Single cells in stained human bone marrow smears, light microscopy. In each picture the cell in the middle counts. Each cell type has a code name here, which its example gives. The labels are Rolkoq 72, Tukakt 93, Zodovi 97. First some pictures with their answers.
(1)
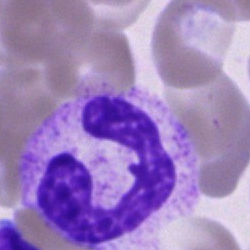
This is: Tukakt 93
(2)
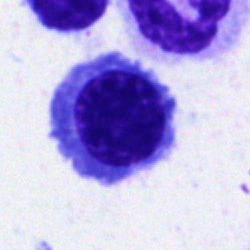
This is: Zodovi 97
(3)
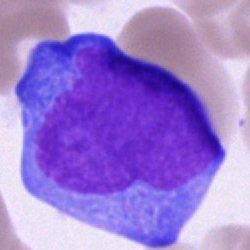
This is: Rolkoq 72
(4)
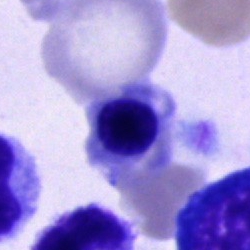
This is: Zodovi 97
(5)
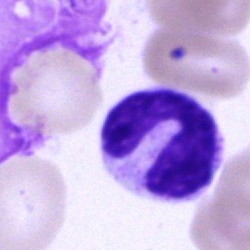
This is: Tukakt 93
